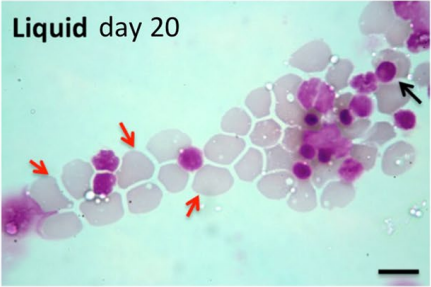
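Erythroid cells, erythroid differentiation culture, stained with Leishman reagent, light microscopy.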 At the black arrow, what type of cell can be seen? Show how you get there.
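The marked cell is small with a condensed, dark purple round nucleus.
Orthochromatic erythroblast.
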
